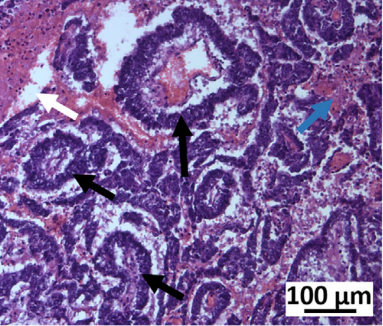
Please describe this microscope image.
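This tumor tissue consists of epithelial tubules in papillary and glandular formations. Many rounded and convoluted tubules are lined by densely packed cells with dark purple nuclei, stacked in several rows and crowded together. The tubules enclose lumina that are partly empty and partly filled with pink material, and some linings fold inward into papillae. Between the tubules lies loose pink stroma with scattered red blood cells and small dark nuclei, and the upper part shows a looser, paler area with pink material and clefts. The overall architecture is disordered and gland-like rather than that of normal tissue.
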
